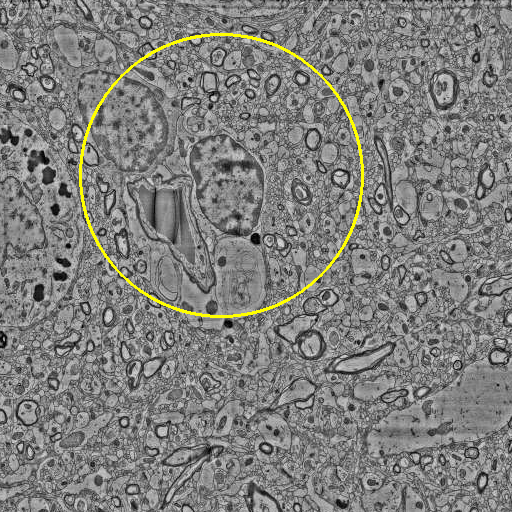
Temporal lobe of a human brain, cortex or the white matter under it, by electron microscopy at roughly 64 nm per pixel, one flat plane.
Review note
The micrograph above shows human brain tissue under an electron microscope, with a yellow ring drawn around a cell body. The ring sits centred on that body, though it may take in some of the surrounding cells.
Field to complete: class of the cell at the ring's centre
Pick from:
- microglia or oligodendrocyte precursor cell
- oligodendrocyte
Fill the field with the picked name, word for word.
microglia or oligodendrocyte precursor cell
